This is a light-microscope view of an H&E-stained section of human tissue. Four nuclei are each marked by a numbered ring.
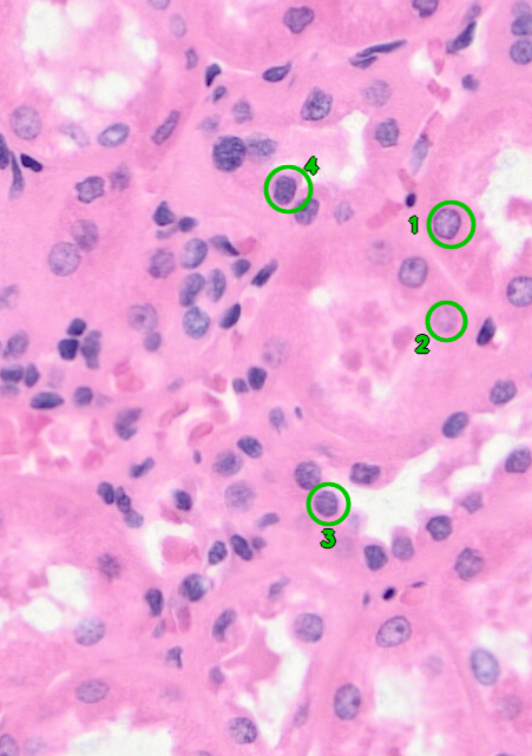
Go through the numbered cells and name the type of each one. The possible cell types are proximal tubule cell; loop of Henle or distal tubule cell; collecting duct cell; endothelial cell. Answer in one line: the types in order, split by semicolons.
proximal tubule cell; proximal tubule cell; loop of Henle or distal tubule cell; loop of Henle or distal tubule cell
